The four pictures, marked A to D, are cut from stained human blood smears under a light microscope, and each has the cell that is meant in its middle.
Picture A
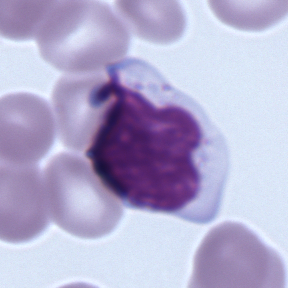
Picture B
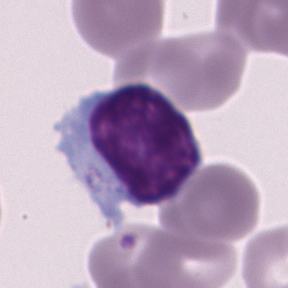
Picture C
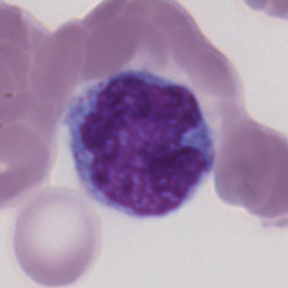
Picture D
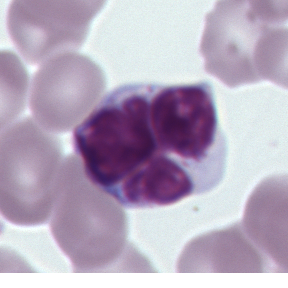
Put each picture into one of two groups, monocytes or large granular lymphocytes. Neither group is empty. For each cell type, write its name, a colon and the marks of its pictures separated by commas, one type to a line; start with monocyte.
monocyte: C
large granular lymphocyte: A, B, D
